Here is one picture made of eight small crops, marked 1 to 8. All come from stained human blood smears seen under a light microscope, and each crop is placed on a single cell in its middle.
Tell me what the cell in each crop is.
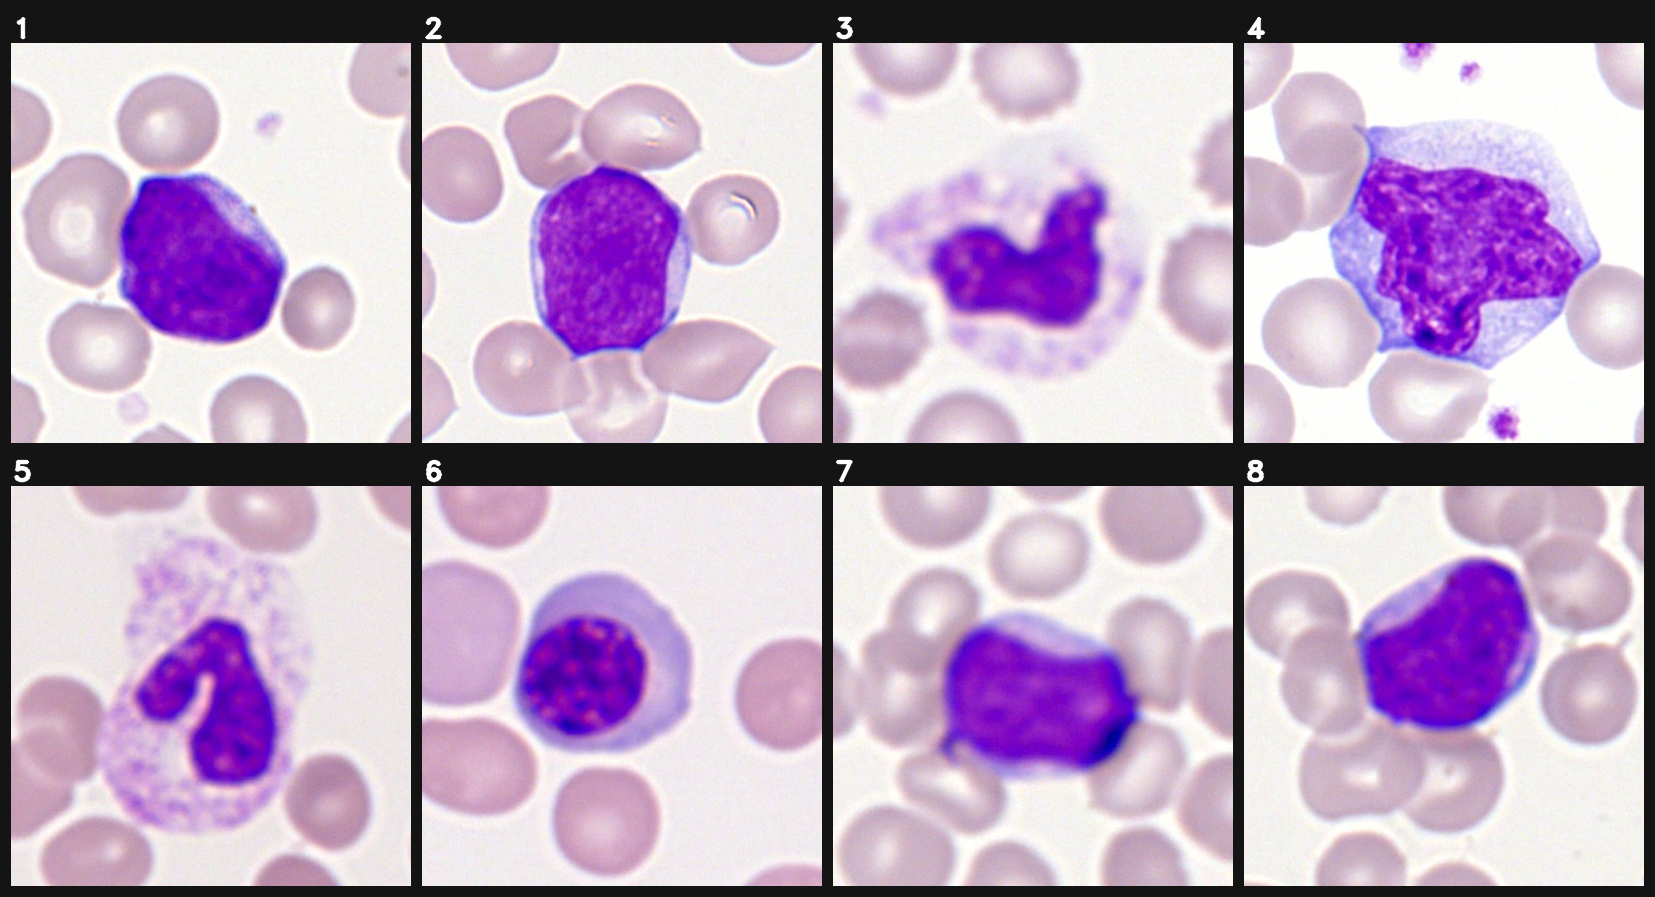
1: myeloblast
2: myeloblast
3: band neutrophil
4: monocyte
5: band neutrophil
6: erythroblast
7: myeloblast
8: myeloblast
